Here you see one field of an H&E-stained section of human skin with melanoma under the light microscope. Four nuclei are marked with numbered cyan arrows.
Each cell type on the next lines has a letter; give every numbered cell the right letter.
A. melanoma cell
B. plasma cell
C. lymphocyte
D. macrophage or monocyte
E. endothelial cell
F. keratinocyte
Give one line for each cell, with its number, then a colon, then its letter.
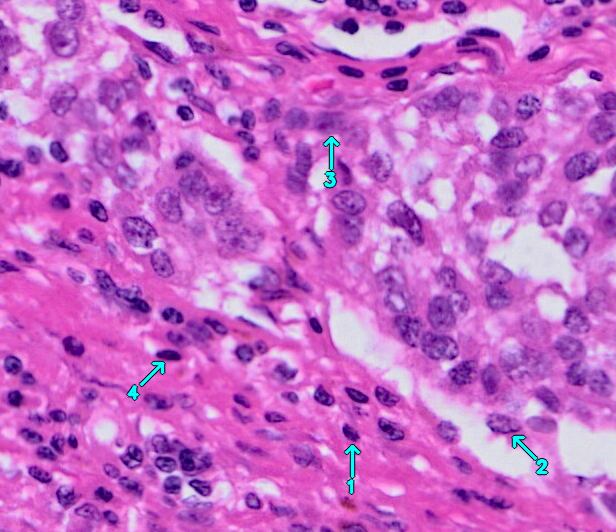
1: C
2: D
3: A
4: B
